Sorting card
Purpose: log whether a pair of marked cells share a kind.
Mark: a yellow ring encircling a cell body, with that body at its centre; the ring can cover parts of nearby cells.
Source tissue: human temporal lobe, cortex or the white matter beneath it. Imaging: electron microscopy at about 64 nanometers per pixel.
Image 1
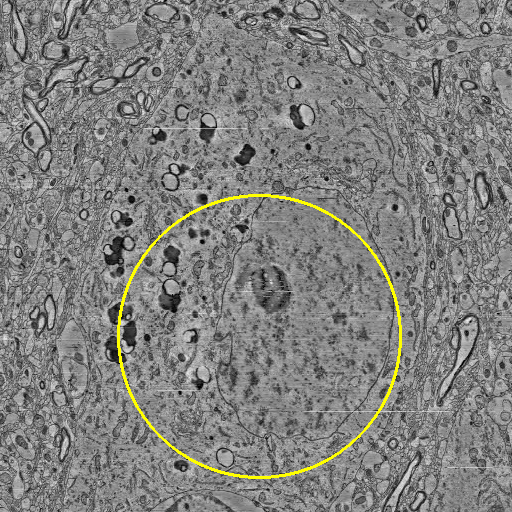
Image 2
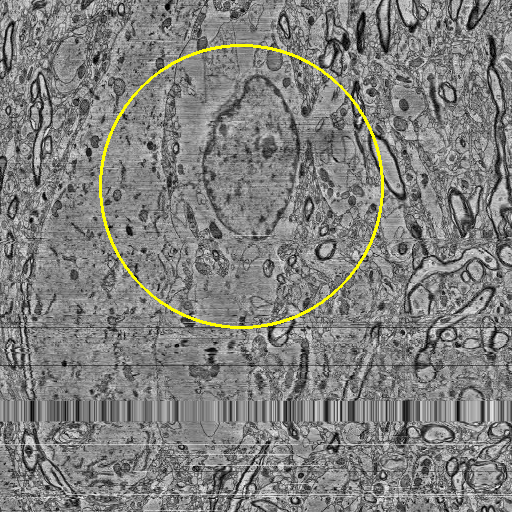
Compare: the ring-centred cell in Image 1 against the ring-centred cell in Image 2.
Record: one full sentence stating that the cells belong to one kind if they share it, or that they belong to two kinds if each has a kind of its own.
Across Images 1 and 2, the two ring-centred cells belong to two kinds.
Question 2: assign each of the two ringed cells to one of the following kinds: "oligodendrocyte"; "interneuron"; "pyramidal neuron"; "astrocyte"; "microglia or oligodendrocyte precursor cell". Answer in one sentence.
The two cells are a pyramidal neuron in the first picture and an astrocyte in the second.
